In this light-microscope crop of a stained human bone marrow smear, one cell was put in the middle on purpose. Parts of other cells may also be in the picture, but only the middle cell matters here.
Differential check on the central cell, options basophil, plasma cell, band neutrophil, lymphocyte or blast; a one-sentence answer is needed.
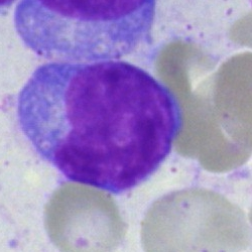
In short, the cell at the center is a blast.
